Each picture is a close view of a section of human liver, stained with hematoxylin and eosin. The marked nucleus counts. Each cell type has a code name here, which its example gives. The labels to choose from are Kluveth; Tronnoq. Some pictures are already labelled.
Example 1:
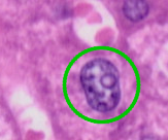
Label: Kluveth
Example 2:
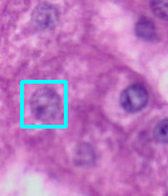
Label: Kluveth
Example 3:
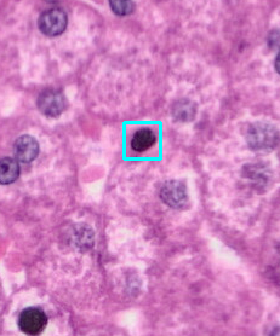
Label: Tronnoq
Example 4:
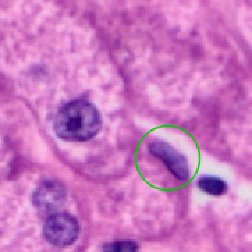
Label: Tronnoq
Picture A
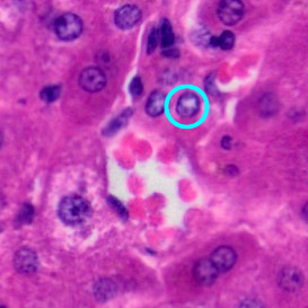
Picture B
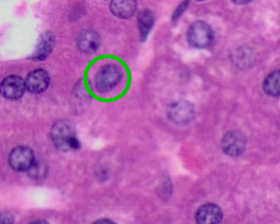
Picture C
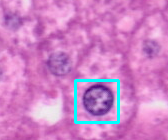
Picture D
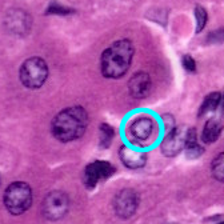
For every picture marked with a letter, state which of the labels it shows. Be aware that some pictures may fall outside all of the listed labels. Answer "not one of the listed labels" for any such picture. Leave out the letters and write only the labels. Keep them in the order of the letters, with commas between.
not one of the listed labels, not one of the listed labels, Kluveth, not one of the listed labels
